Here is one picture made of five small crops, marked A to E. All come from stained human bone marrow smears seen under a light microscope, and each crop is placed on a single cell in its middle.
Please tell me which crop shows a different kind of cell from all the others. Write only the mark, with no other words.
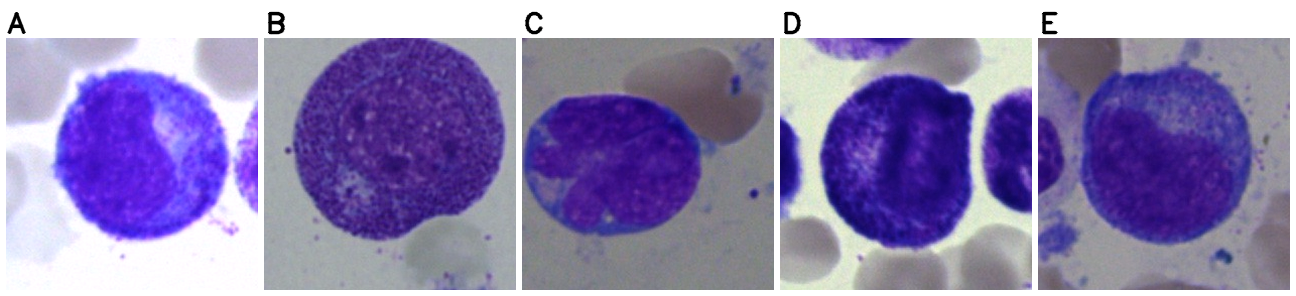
C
